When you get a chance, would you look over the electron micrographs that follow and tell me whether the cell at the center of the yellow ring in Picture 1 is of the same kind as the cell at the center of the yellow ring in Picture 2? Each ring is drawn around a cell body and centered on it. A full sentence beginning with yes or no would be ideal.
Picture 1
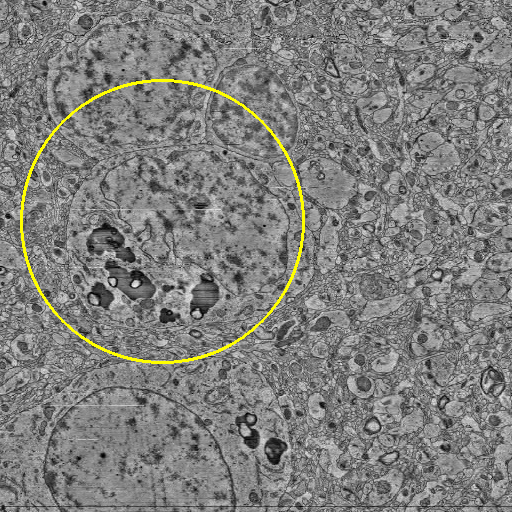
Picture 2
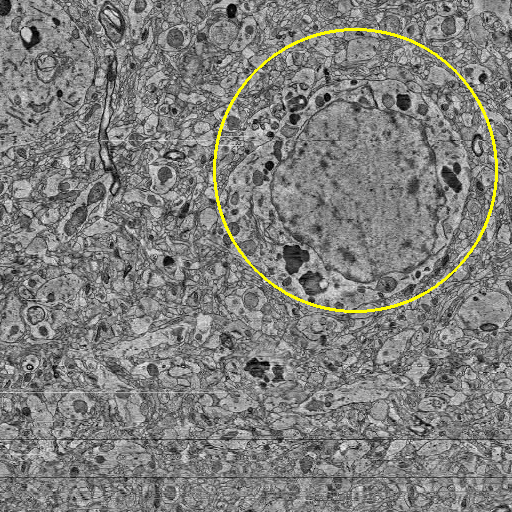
Yes, the two cells are of the same kind.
